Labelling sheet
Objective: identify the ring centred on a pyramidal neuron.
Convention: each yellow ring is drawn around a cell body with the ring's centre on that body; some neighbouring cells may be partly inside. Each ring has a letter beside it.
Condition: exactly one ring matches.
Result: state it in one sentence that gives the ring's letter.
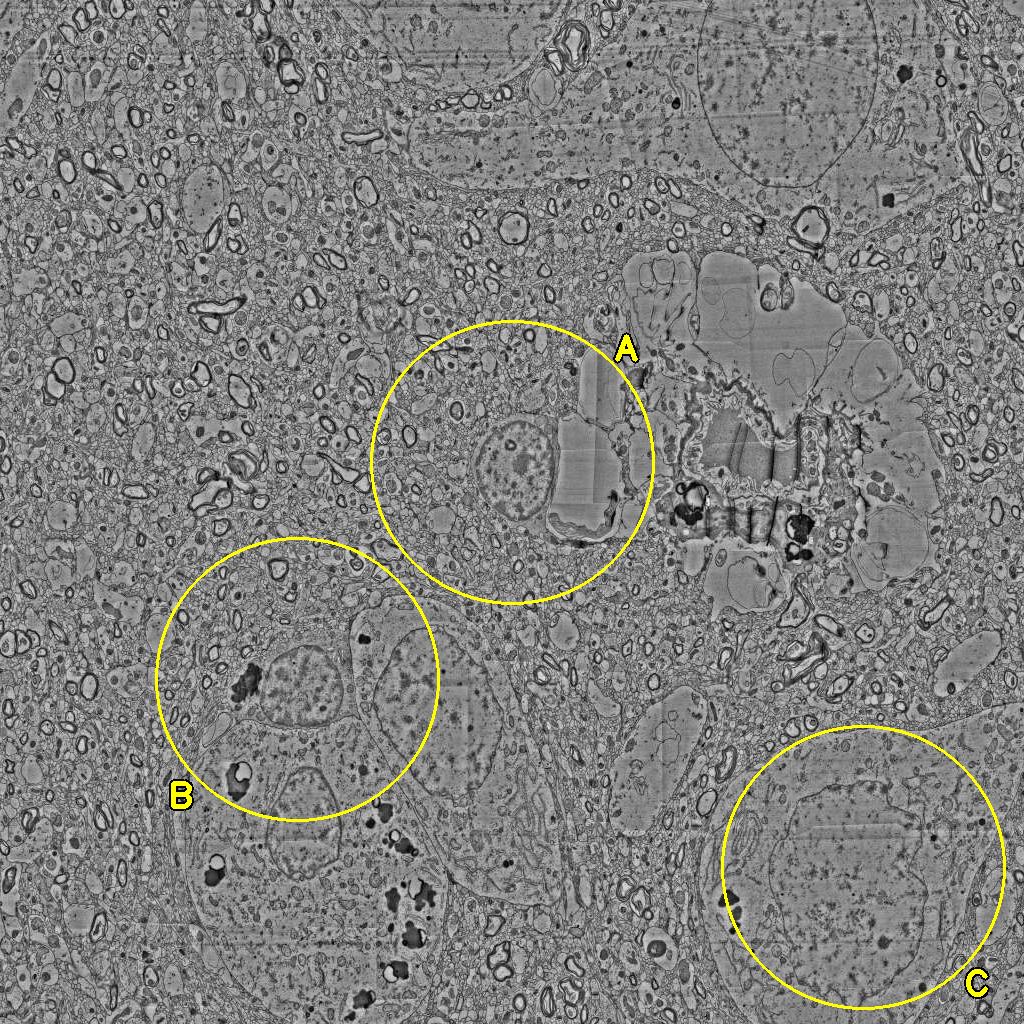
It lies at the centre of ring C.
